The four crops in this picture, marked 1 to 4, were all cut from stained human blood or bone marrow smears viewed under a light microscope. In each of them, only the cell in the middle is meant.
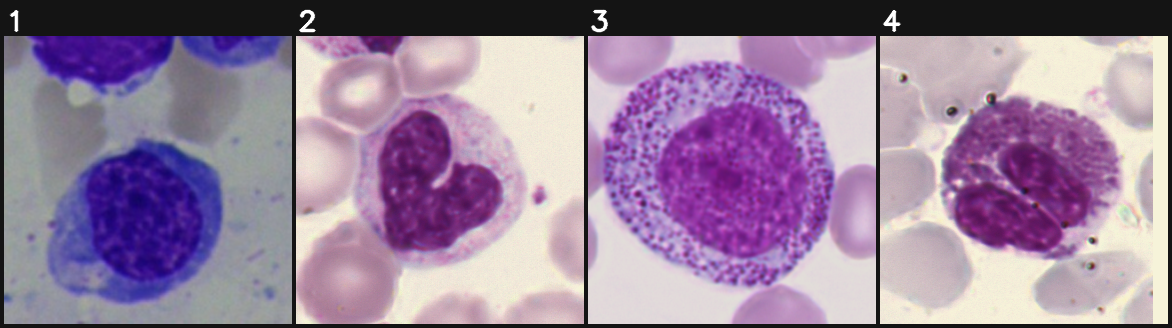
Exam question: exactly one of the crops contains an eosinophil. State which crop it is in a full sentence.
The sole crop showing an eosinophil is crop 4.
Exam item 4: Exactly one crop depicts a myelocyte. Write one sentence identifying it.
Of the crops shown, crop 3 depicts a myelocyte.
